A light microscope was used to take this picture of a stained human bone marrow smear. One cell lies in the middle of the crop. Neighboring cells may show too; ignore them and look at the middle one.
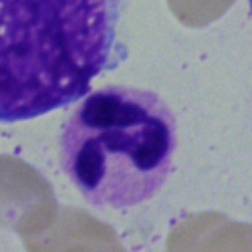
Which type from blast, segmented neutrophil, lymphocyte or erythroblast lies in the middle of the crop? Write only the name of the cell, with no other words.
segmented neutrophil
